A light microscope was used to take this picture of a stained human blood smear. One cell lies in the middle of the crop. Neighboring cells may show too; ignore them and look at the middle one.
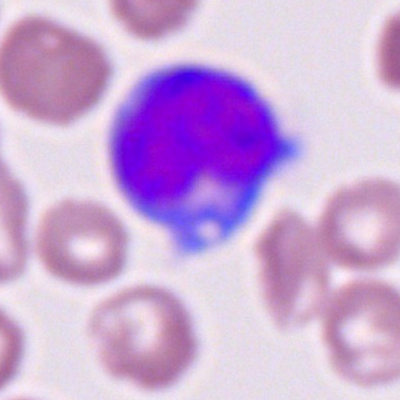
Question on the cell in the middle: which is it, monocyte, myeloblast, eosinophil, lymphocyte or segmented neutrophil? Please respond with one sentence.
In short, the cell at the center is a monocyte.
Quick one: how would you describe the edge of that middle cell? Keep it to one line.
An uneven margin is present, with either ragged stretches or outward projections.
